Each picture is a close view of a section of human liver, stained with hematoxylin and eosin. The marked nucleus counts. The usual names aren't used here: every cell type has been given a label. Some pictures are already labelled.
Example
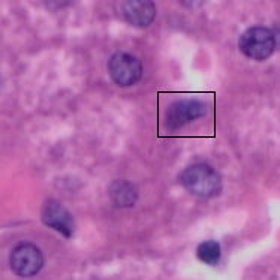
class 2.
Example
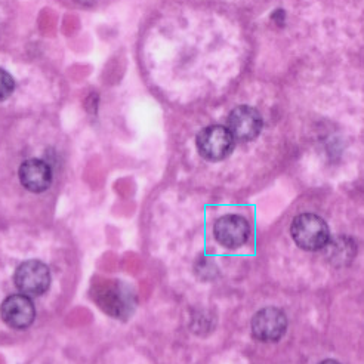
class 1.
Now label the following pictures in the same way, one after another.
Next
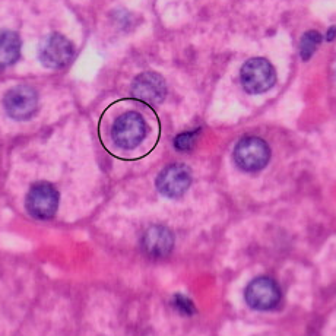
class 1.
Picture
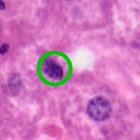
class 2.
